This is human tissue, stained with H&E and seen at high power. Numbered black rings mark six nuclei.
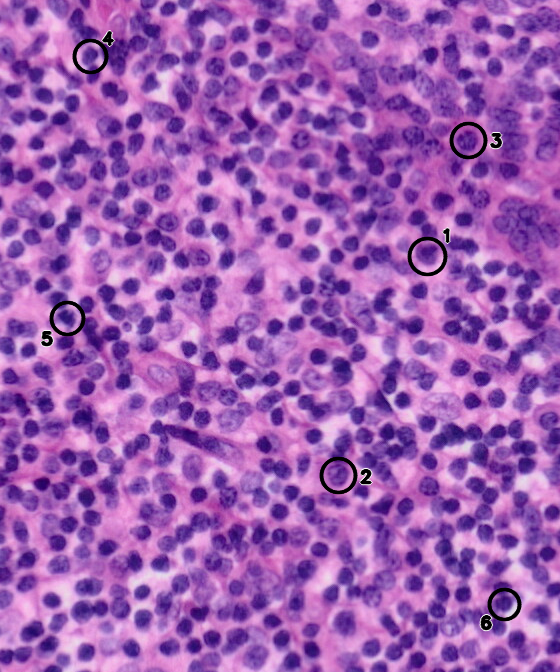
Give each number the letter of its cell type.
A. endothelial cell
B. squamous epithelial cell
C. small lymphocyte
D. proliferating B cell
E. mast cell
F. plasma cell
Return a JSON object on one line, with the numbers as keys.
{"1": "D", "2": "F", "3": "F", "4": "C", "5": "C", "6": "C"}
